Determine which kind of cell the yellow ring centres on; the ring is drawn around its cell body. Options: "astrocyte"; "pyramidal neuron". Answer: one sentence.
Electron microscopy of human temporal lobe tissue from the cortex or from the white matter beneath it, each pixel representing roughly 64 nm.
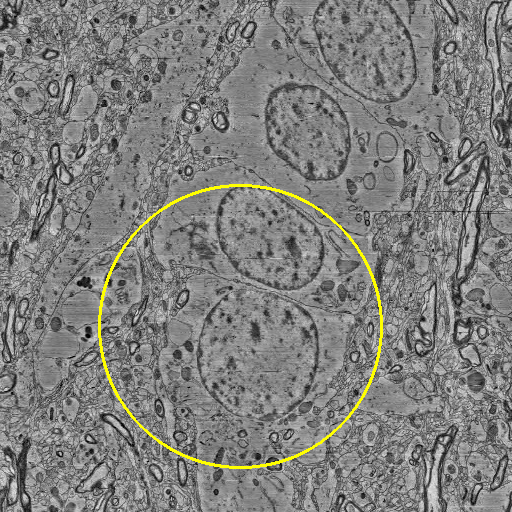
The ring centres on an astrocyte.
